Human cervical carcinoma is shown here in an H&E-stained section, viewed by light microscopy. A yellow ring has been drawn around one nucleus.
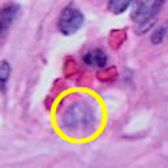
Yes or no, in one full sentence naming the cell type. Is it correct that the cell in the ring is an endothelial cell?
Yes, the identification of the cell in the ring as an endothelial cell stands.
